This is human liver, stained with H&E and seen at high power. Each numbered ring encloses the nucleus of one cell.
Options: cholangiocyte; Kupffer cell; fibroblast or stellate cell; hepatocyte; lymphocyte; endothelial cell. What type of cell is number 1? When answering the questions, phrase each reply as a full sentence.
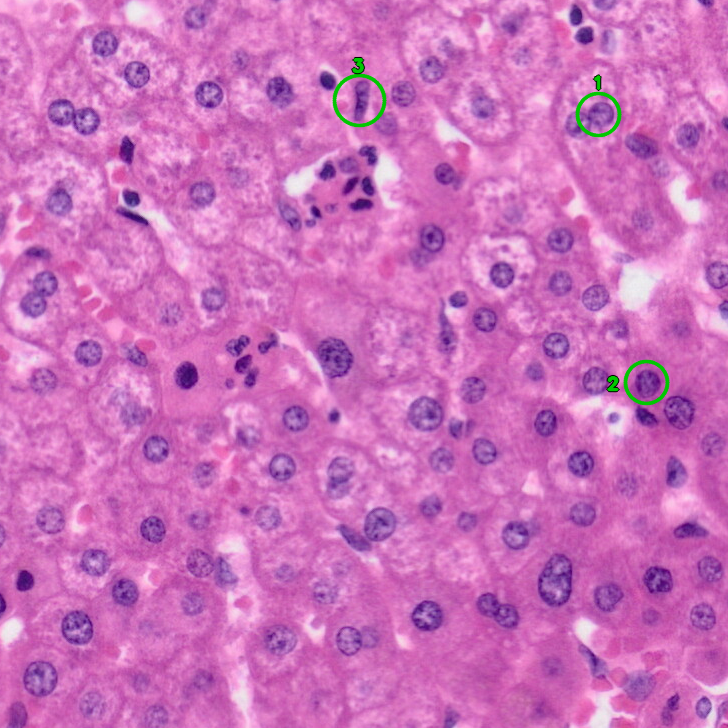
The marked cell bearing number 1 is a hepatocyte.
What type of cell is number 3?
The expected answer is that cell 3 is a Kupffer cell.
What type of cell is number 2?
Cell 2 should be recorded as a hepatocyte.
